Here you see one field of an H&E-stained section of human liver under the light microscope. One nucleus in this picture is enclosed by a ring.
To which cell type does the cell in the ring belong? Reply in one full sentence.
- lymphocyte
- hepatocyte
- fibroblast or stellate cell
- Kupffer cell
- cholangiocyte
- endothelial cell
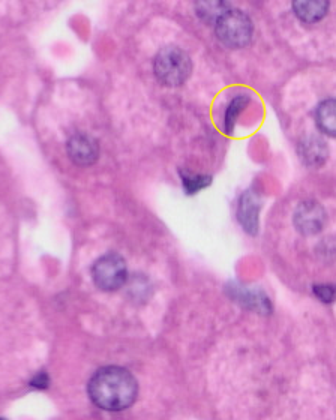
As classified here, the cell in the ring is an endothelial cell.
